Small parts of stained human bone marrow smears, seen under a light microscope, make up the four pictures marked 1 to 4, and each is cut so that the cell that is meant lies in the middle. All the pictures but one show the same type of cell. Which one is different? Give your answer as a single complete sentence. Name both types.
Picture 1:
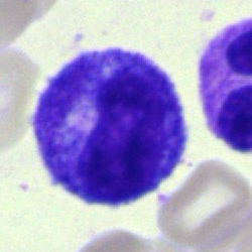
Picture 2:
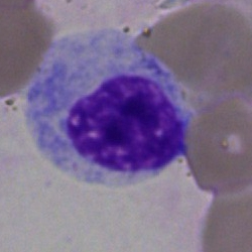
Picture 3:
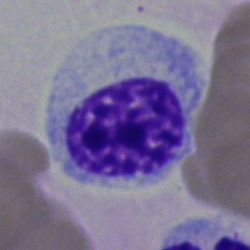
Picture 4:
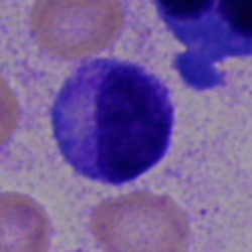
The different one is picture 1; it shows a metamyelocyte, whereas all the others show myelocytes.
